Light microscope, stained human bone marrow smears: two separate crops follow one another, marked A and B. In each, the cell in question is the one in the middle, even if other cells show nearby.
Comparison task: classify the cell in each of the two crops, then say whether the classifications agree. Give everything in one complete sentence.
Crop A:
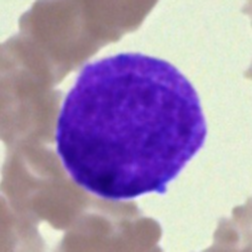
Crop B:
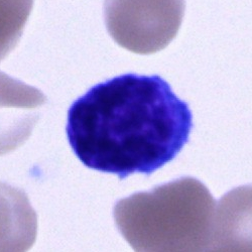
Yes, shown in both crops are blasts.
